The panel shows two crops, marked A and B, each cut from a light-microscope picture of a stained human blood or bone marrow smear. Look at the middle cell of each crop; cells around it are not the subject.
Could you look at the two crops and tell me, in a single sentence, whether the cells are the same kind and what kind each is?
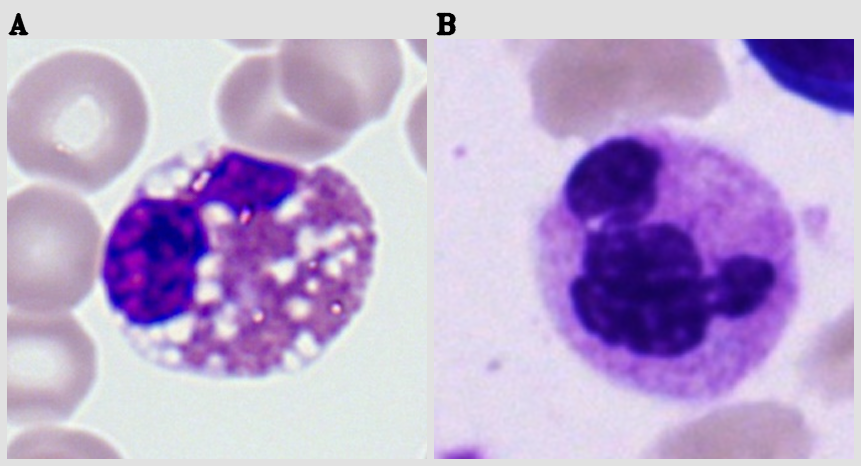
No, while an eosinophil is found in crop A, a segmented neutrophil is found in crop B.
